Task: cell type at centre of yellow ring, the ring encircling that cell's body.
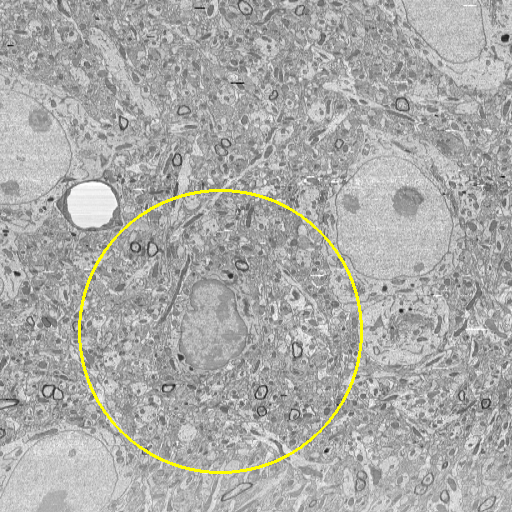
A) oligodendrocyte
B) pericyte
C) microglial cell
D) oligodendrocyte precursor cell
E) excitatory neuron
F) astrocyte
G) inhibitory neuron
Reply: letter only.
C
